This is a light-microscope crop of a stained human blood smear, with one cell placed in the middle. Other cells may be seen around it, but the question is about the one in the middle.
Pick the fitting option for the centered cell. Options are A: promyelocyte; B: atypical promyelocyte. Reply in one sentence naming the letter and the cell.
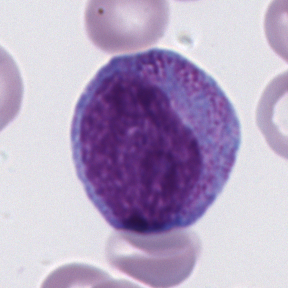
Since the cell in the centre is a promyelocyte, the correct option is A.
